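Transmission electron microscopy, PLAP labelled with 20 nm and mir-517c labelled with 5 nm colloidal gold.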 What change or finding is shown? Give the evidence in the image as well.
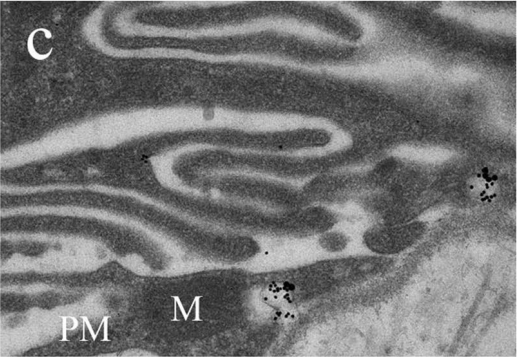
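Ruffled. The cell surface is thrown into many long, narrow, folded projections. Pale extracellular gaps wind between the stacked folds.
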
